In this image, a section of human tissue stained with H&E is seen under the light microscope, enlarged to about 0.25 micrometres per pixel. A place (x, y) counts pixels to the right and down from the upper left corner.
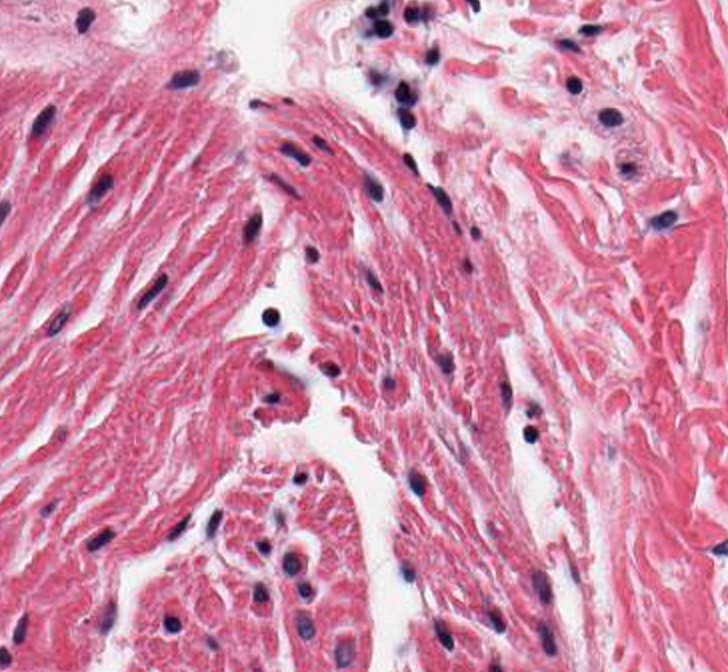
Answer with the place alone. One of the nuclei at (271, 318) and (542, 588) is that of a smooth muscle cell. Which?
(542, 588)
